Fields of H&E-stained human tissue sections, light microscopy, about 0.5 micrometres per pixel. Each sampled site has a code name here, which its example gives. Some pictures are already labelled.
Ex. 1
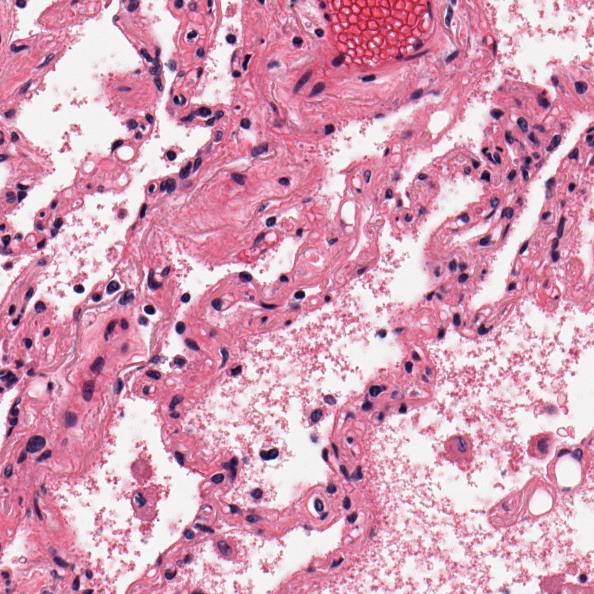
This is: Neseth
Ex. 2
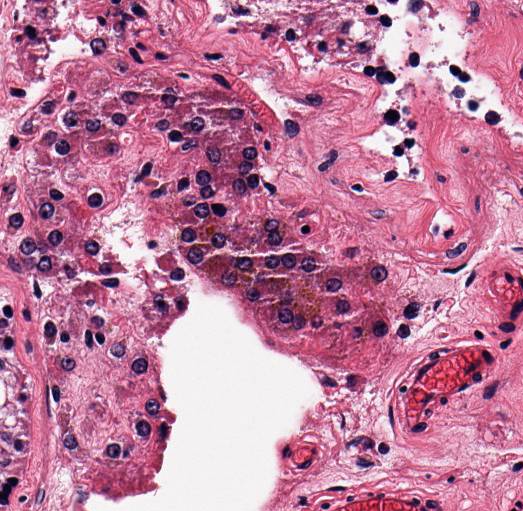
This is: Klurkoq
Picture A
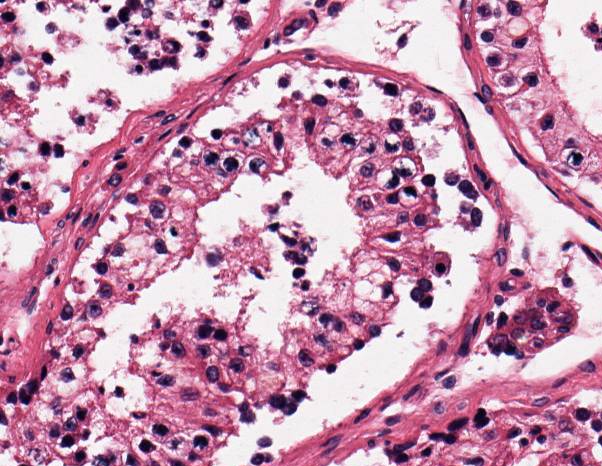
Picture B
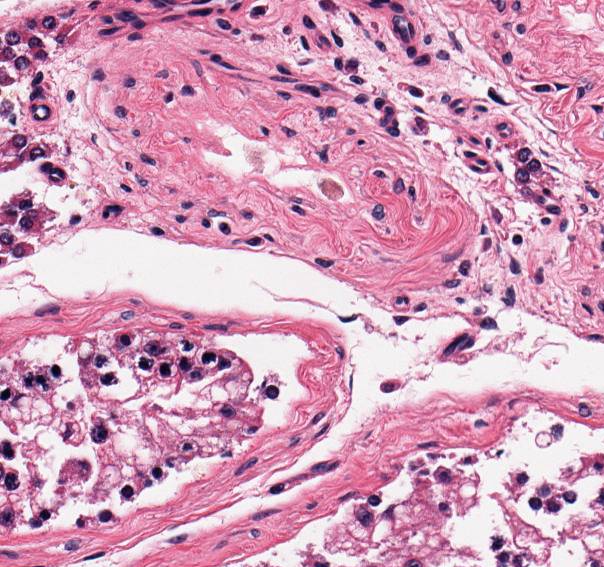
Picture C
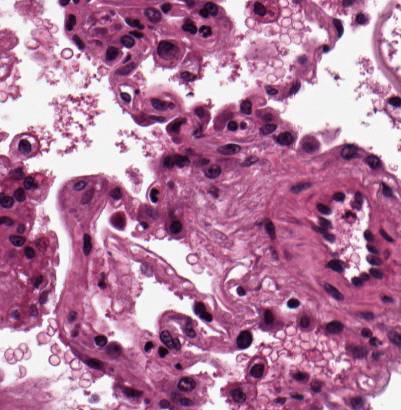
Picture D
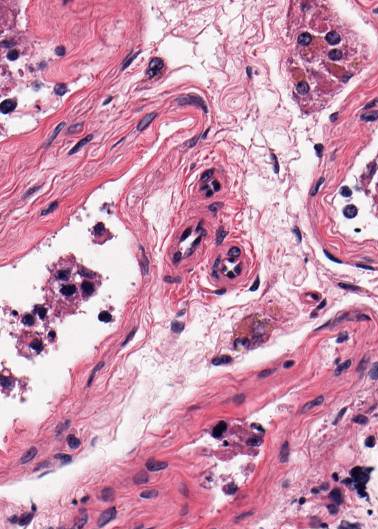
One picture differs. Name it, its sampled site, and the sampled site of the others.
C differs and shows Neseth; the others show Klurkoq.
